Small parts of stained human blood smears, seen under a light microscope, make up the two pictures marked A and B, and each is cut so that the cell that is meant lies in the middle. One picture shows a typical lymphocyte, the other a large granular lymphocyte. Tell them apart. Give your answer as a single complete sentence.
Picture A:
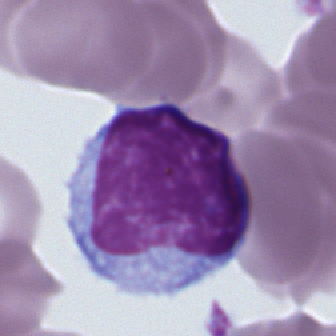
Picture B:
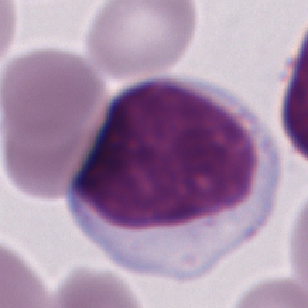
The cell in picture A is a typical lymphocyte, and the one in picture B is a large granular lymphocyte.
